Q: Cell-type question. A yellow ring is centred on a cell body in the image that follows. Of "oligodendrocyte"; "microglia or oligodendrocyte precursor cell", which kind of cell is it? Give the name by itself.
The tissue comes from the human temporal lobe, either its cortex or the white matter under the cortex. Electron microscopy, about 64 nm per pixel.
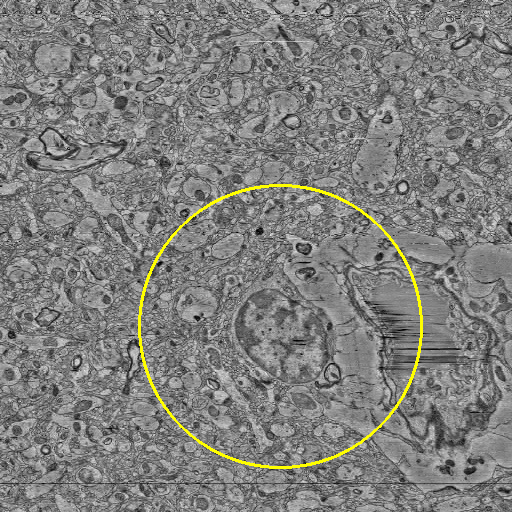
oligodendrocyte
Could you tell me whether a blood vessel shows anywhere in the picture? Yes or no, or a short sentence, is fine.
Yes, a blood vessel is present in this picture.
